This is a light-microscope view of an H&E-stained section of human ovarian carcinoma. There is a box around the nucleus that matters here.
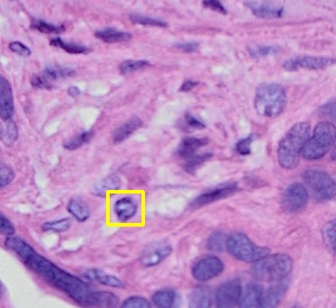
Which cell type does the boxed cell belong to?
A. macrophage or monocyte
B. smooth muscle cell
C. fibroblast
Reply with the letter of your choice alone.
A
